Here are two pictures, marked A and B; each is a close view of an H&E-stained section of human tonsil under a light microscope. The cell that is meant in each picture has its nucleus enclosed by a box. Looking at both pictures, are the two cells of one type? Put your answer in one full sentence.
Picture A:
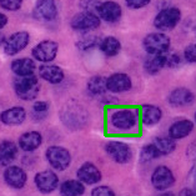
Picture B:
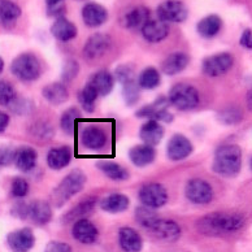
Yes, they are the same type: both are plasma cells.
